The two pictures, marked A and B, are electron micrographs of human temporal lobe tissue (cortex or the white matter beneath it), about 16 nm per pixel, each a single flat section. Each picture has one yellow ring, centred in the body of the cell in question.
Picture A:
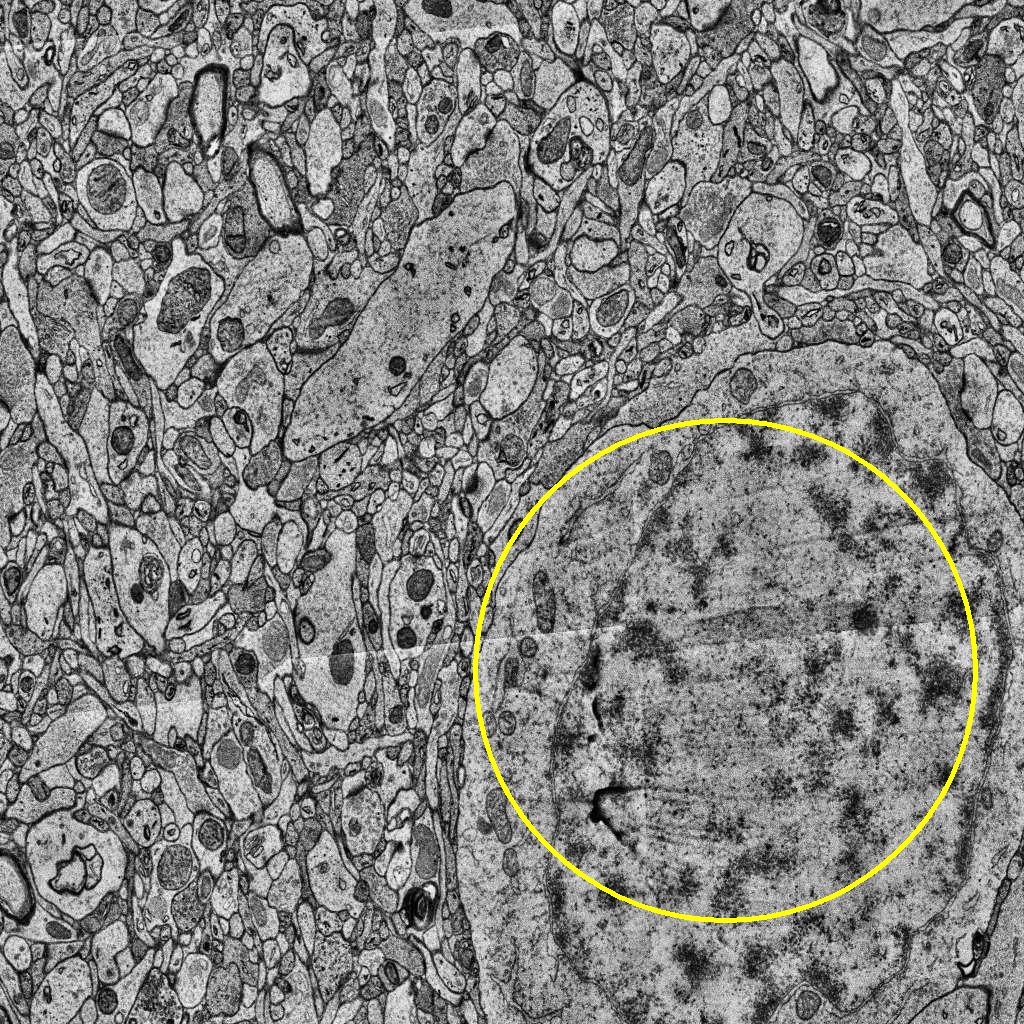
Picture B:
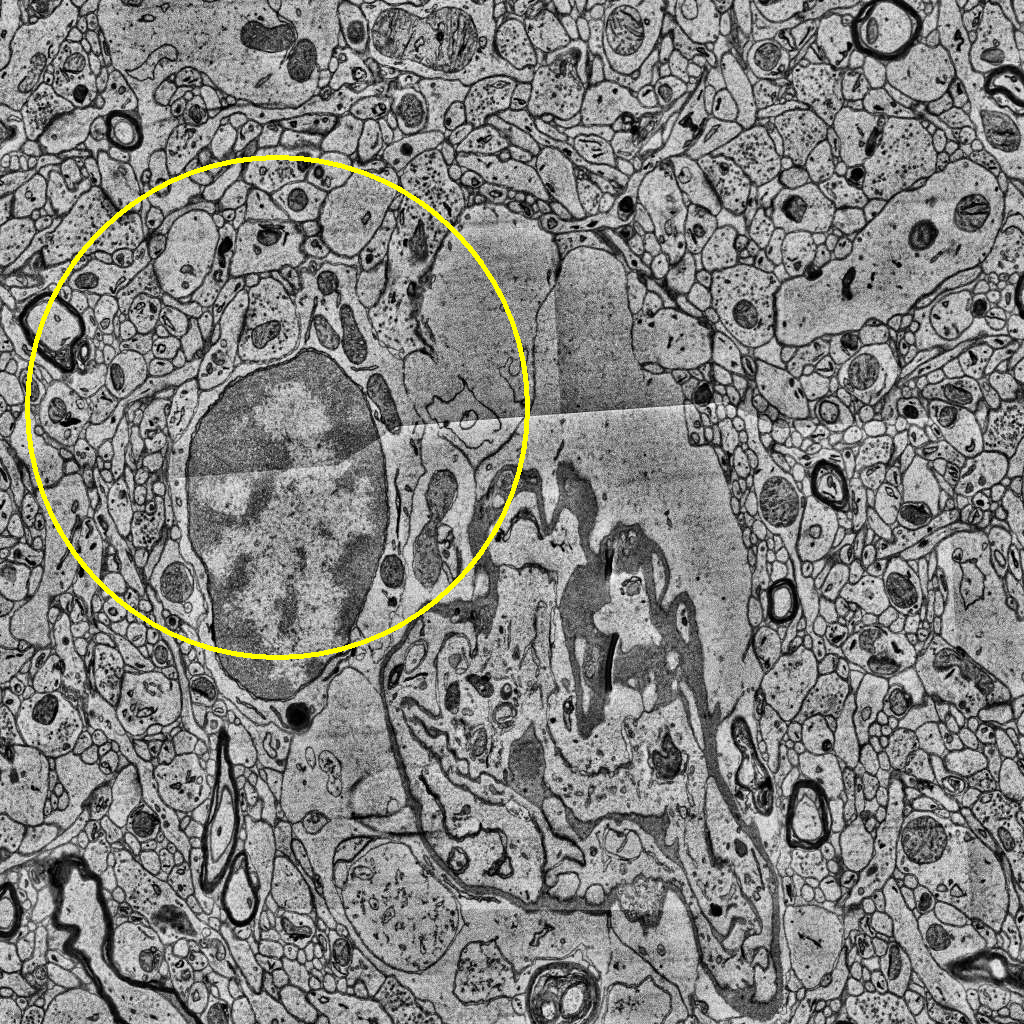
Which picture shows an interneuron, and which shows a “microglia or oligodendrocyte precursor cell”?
It is picture A that shows an interneuron, and picture B that shows a “microglia or oligodendrocyte precursor cell”.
